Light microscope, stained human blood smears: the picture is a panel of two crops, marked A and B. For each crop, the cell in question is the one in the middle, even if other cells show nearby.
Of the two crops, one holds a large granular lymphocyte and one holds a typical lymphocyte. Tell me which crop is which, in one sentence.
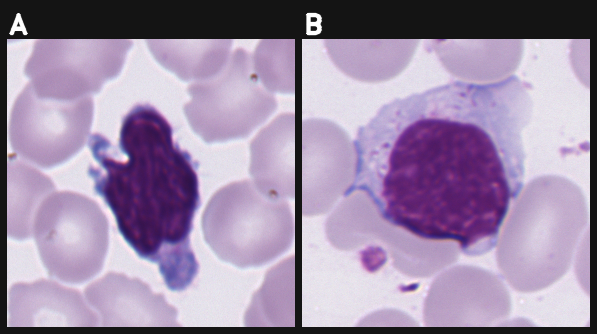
The middle of crop A is occupied by a typical lymphocyte, and the middle of crop B by a large granular lymphocyte.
